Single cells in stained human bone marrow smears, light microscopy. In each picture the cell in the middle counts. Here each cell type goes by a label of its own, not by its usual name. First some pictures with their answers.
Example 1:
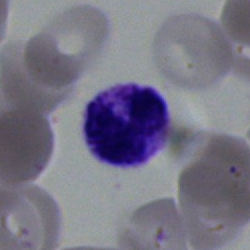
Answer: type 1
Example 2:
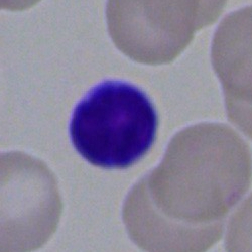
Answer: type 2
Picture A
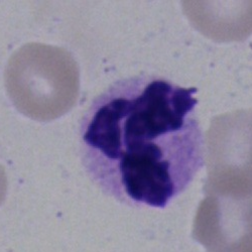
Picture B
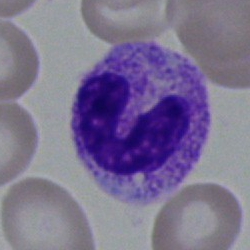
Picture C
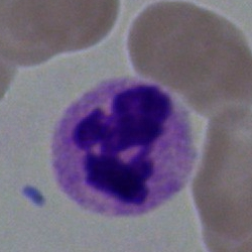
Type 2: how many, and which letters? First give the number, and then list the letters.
0, none of them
